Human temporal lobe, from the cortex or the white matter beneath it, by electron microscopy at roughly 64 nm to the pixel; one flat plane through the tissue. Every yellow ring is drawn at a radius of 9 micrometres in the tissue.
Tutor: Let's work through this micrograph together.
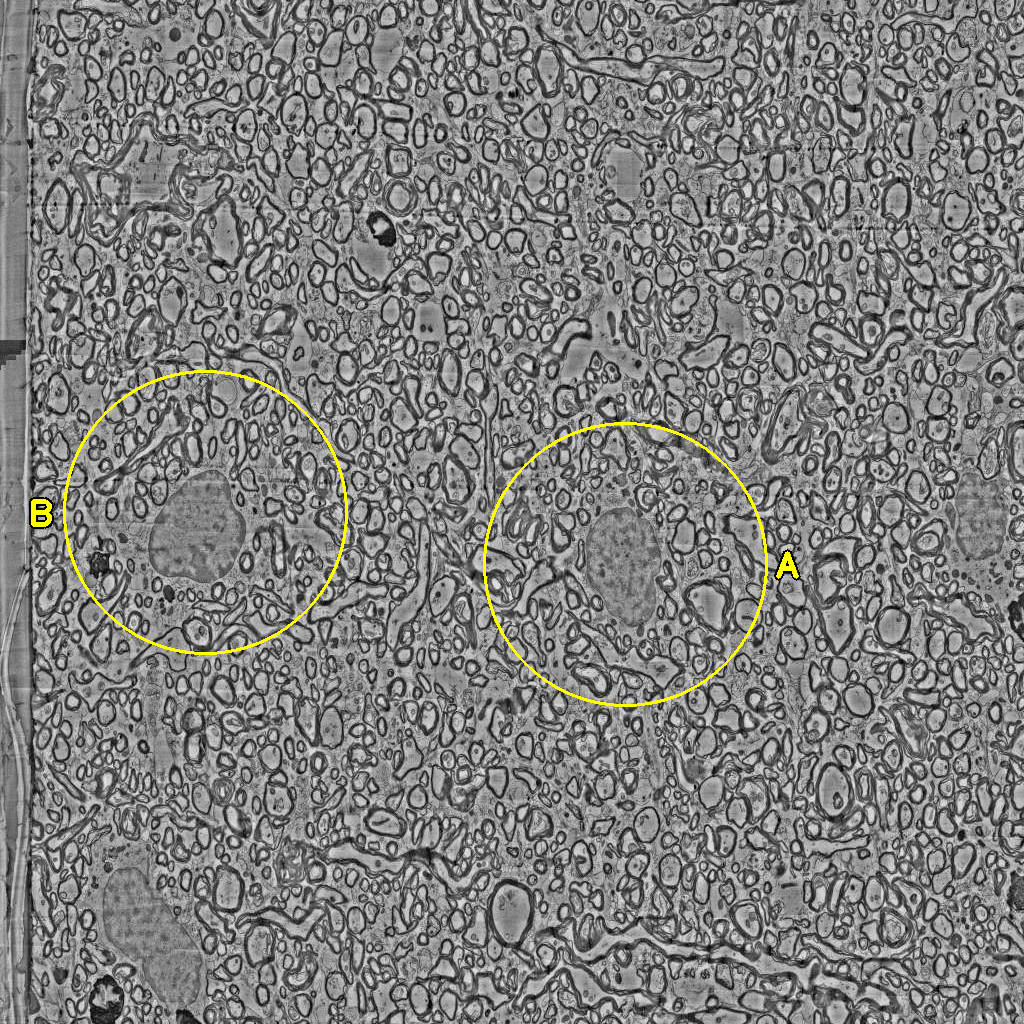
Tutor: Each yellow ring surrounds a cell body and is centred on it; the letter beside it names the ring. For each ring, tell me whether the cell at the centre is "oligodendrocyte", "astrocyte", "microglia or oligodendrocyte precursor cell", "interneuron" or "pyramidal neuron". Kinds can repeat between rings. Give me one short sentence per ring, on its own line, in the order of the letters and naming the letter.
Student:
The ring labelled A is centred on an oligodendrocyte.
The ring labelled B is centred on a microglial cell or oligodendrocyte precursor cell.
